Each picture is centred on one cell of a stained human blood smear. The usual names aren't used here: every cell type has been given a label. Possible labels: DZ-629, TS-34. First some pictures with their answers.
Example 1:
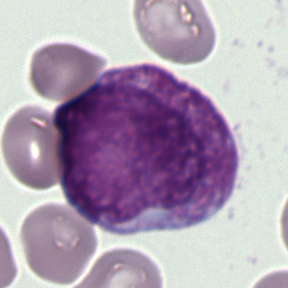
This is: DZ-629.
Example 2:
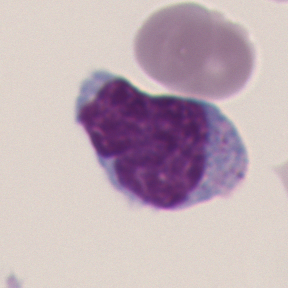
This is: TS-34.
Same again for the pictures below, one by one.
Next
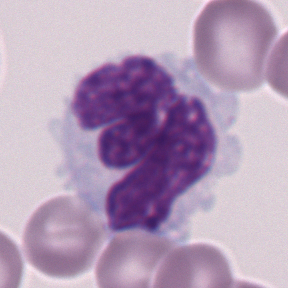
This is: TS-34.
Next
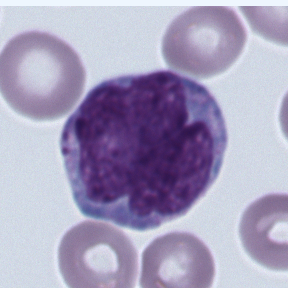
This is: DZ-629.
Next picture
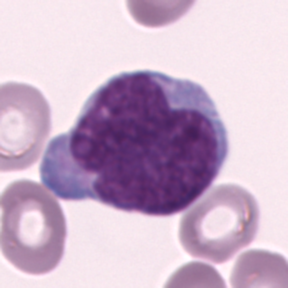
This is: DZ-629.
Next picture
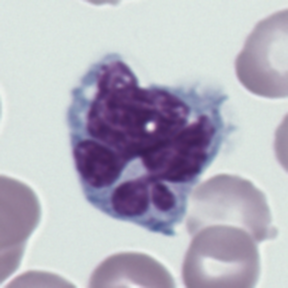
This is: TS-34.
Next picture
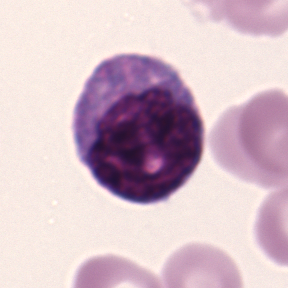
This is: TS-34.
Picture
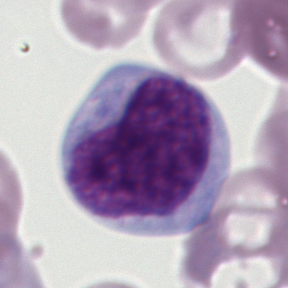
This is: TS-34.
